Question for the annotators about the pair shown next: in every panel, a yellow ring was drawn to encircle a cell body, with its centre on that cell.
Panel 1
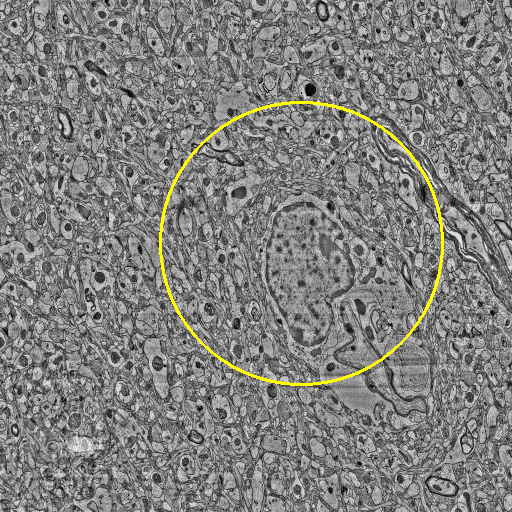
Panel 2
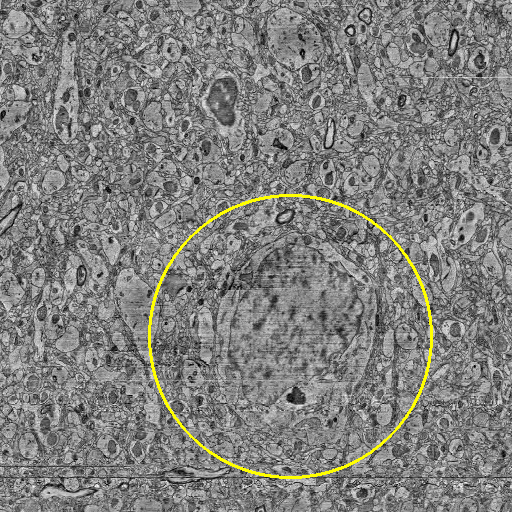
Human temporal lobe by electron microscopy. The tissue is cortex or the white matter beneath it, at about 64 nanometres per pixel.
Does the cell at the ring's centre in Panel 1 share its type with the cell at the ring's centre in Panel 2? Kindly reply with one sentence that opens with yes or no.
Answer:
No, in Panels 1 and 2 the cells at the ring centres belong to separate types.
